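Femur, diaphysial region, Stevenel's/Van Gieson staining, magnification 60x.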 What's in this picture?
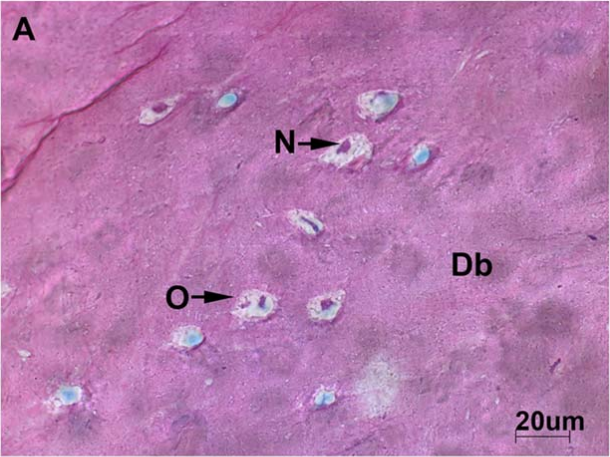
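This is cortical bone with osteocytes lying in lacunae scattered through a pale pink matrix. The lacunae here look rounder and more irregular than in tightly lamellar bone, some contain a small dark purple nucleus, and several hold blue-stained material.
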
